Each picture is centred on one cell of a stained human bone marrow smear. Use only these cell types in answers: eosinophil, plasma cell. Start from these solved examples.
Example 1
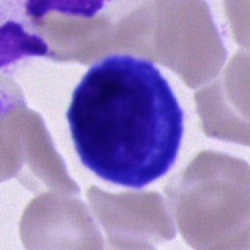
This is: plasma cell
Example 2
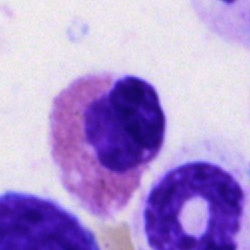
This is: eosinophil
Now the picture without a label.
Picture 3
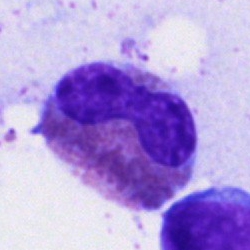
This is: eosinophil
